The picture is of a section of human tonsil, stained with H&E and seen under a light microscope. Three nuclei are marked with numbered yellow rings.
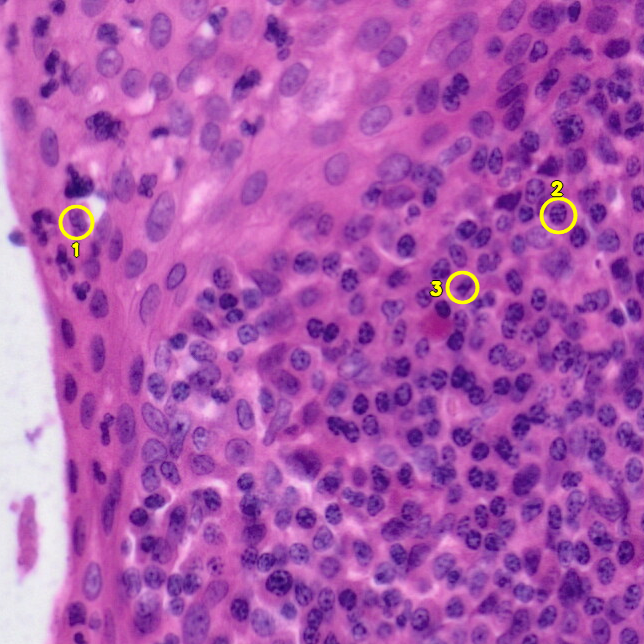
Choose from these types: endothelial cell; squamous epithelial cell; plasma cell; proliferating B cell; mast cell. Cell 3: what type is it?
plasma cell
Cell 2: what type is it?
plasma cell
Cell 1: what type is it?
squamous epithelial cell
